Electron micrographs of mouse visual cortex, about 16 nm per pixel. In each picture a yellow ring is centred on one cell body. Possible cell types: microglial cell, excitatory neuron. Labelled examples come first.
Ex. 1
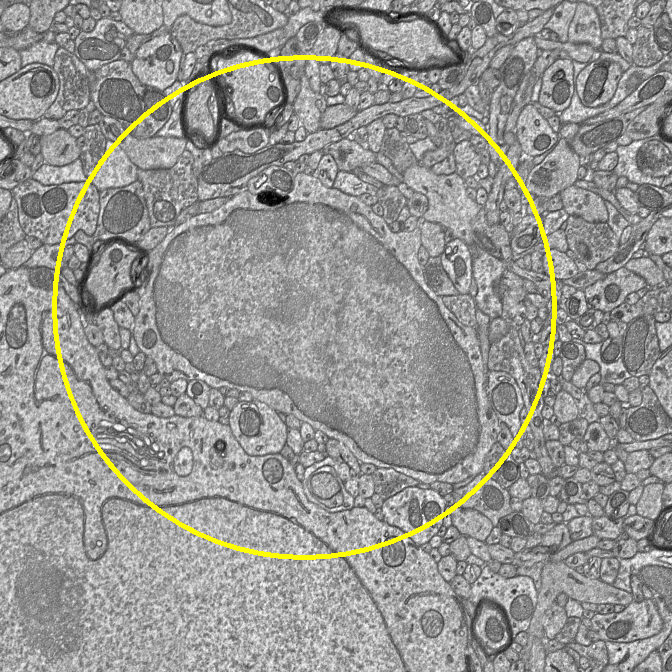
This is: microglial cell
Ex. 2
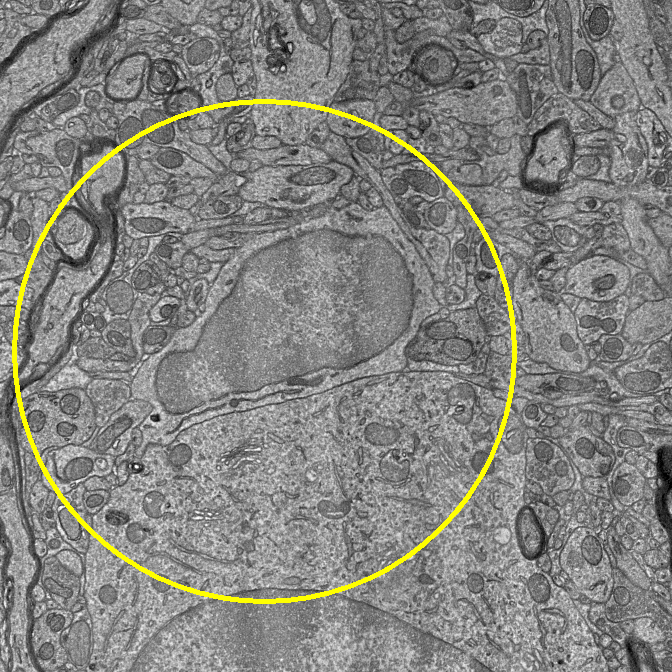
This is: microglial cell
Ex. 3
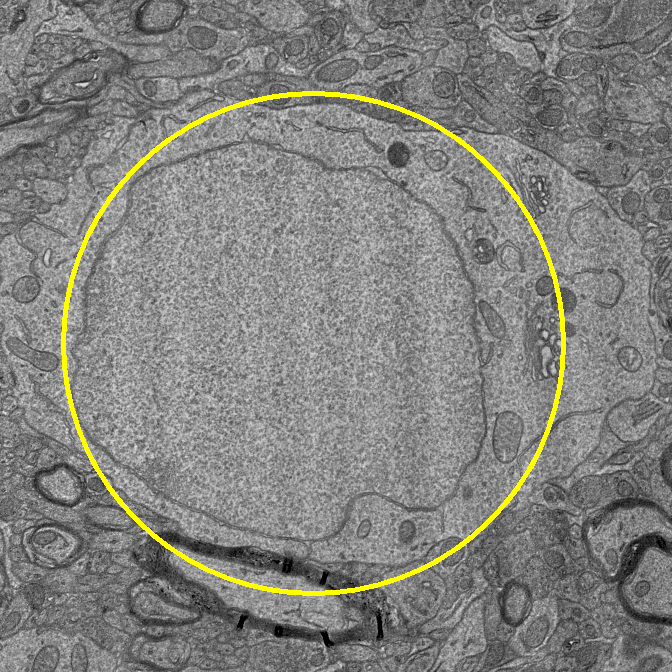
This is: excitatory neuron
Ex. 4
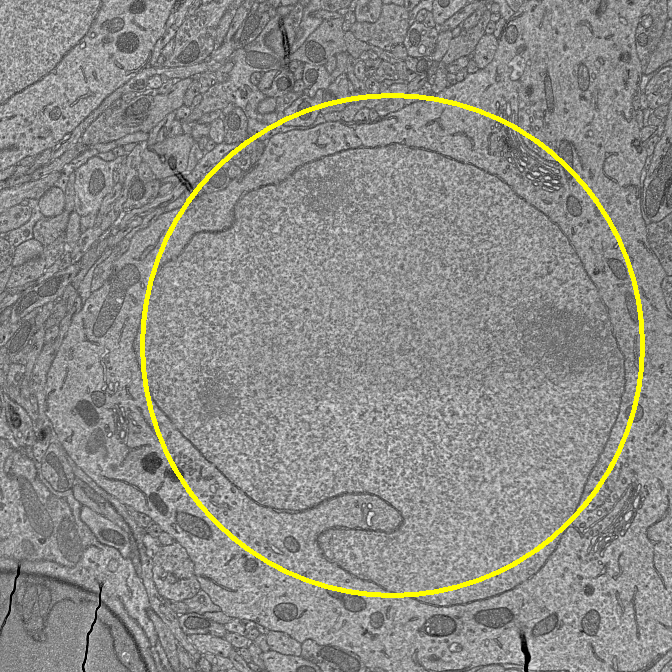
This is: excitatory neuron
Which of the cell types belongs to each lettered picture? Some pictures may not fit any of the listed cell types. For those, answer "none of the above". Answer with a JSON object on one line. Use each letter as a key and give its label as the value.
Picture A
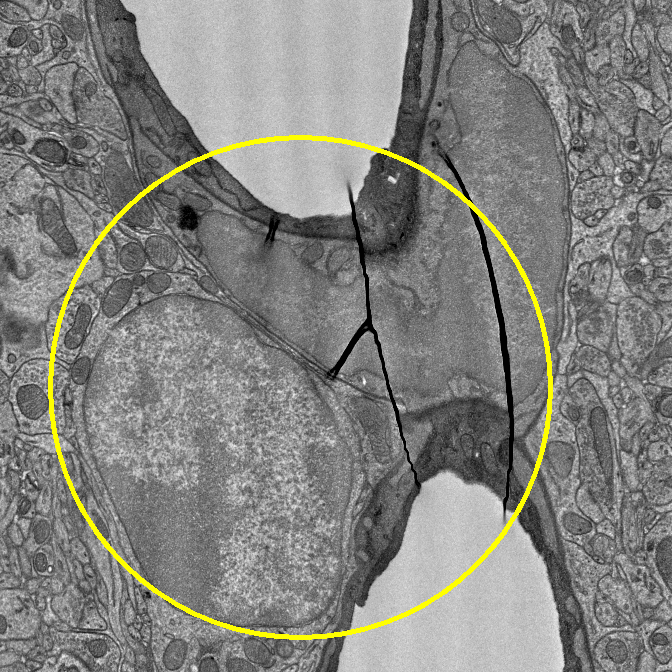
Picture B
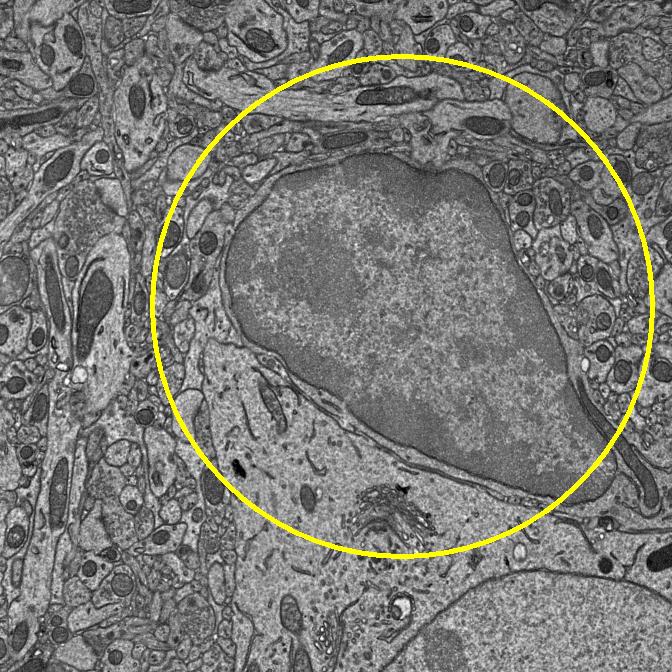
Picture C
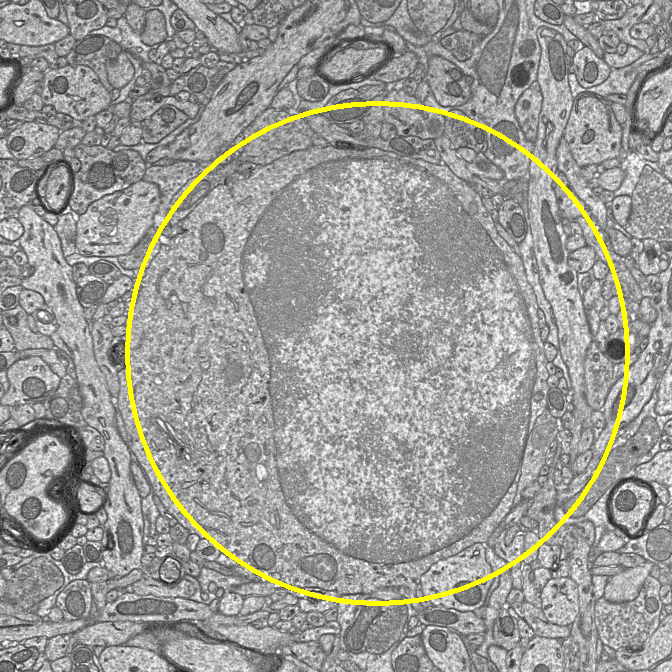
{"A": "none of the above", "B": "microglial cell", "C": "none of the above"}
